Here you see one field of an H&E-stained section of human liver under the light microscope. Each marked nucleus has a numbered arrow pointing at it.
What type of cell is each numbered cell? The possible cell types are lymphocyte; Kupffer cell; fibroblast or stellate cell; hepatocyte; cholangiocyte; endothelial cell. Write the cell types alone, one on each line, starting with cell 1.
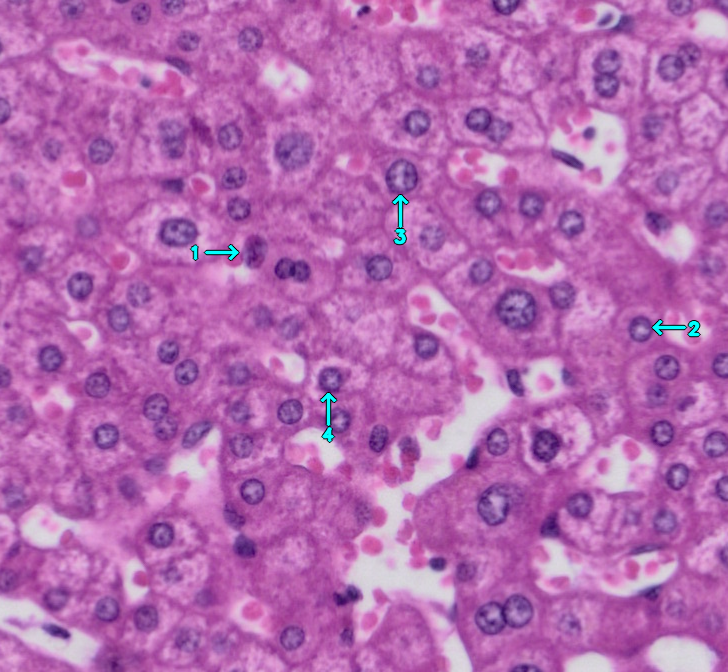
endothelial cell
hepatocyte
hepatocyte
hepatocyte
